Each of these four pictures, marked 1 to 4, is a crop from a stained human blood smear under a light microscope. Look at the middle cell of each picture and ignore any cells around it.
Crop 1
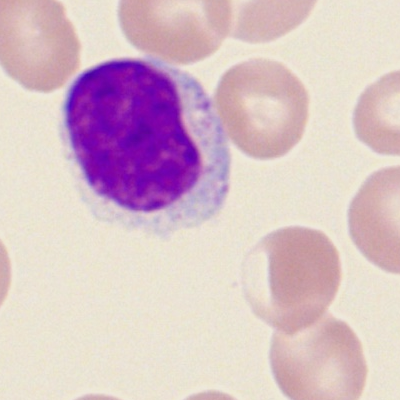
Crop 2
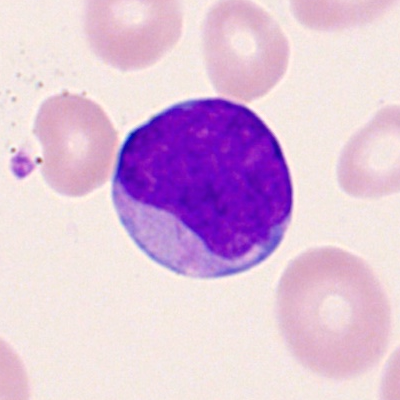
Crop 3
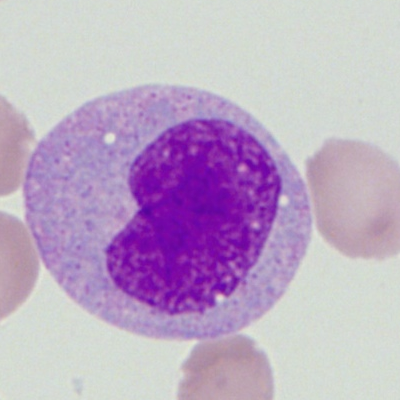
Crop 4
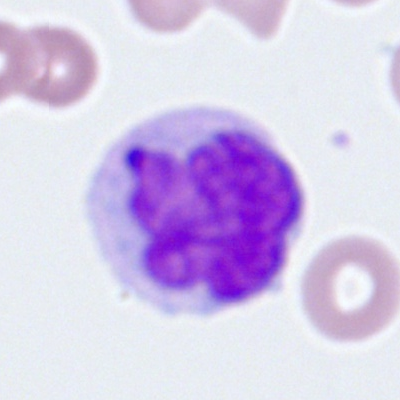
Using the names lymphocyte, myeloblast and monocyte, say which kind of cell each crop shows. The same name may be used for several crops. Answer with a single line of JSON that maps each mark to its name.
{"1": "lymphocyte", "2": "myeloblast", "3": "monocyte", "4": "monocyte"}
